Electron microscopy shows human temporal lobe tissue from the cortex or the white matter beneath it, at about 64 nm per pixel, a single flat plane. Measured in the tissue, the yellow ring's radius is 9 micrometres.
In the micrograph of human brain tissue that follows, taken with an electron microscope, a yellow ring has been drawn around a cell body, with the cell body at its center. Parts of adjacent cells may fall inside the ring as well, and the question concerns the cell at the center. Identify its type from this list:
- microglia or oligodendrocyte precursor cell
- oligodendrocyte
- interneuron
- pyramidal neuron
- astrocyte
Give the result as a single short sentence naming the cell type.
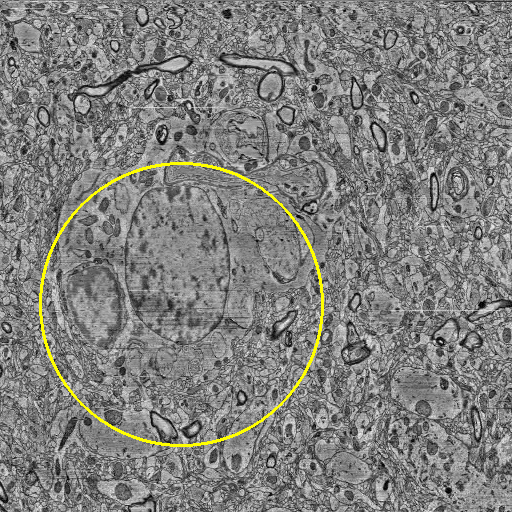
The ring is centered on an astrocyte.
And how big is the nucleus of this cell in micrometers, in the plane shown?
About 10 by 7 micrometres, the nucleus being clearly longer than it is wide in this plane.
